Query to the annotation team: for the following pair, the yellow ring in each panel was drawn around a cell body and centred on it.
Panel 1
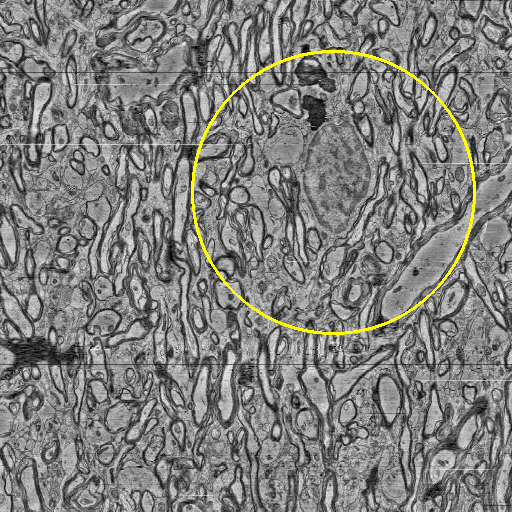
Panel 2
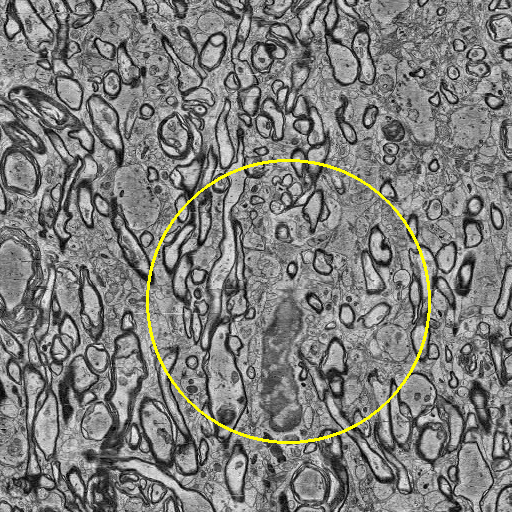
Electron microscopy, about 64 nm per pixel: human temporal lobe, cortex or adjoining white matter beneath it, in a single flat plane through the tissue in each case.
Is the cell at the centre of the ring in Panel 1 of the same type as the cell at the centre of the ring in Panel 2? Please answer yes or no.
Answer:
no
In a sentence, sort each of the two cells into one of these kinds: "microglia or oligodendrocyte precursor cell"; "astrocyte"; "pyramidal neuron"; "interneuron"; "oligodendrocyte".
The first of the two cells is an oligodendrocyte, and the second is a microglial cell or oligodendrocyte precursor cell.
